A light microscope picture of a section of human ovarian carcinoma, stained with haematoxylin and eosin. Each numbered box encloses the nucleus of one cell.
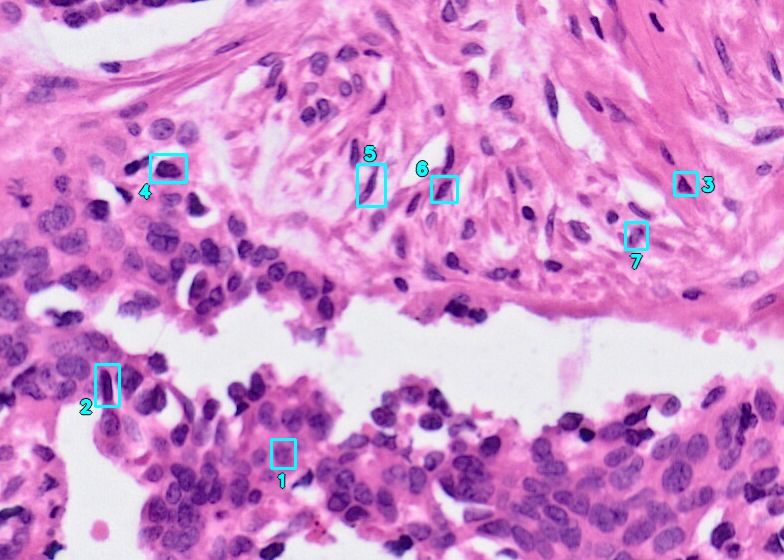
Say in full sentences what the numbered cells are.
Cell 1 is a carcinoma cell, cell 2 is a carcinoma cell, cell 3 is a fibroblast, cell 4 is a carcinoma cell, cell 5 is a fibroblast, cell 6 is a fibroblast and cell 7 is a fibroblast.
